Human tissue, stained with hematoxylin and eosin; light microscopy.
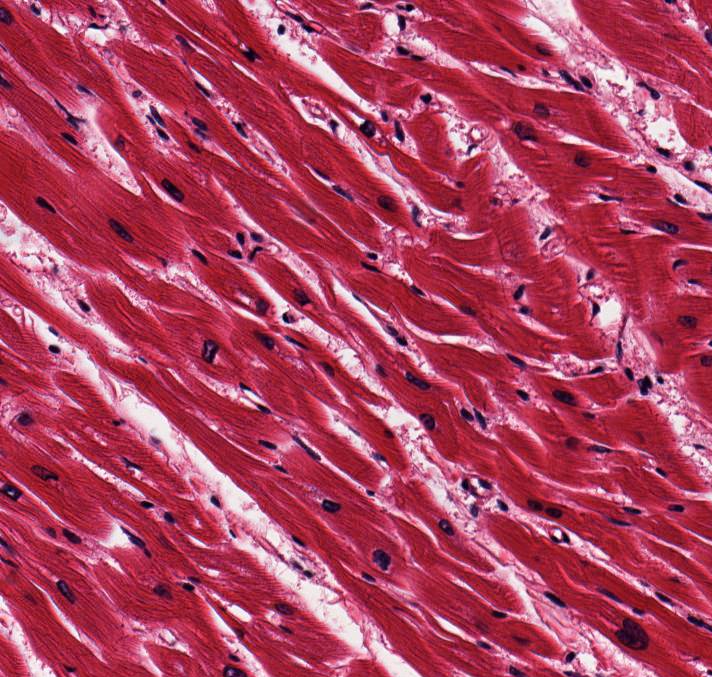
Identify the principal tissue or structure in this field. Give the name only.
myocardium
